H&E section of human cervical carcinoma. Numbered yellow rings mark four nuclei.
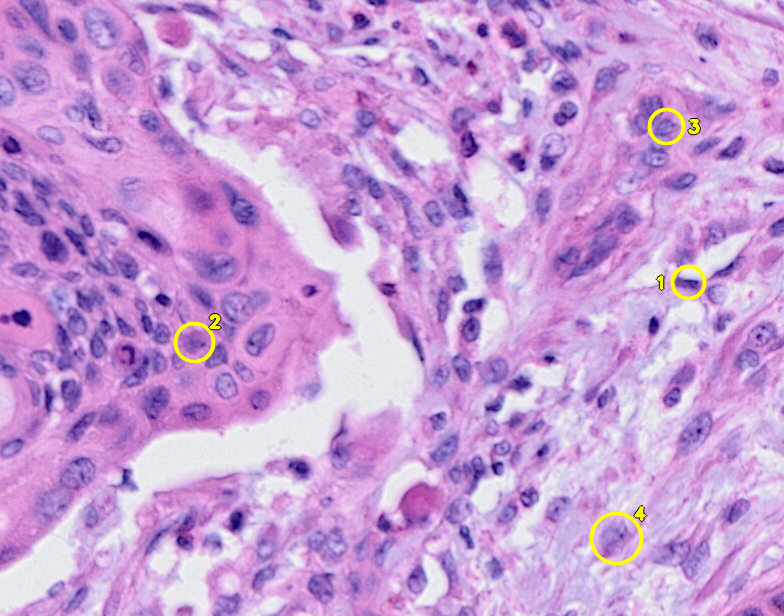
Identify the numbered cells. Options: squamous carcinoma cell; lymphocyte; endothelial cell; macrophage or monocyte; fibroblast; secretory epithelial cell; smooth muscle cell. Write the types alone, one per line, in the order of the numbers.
endothelial cell
squamous carcinoma cell
endothelial cell
fibroblast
